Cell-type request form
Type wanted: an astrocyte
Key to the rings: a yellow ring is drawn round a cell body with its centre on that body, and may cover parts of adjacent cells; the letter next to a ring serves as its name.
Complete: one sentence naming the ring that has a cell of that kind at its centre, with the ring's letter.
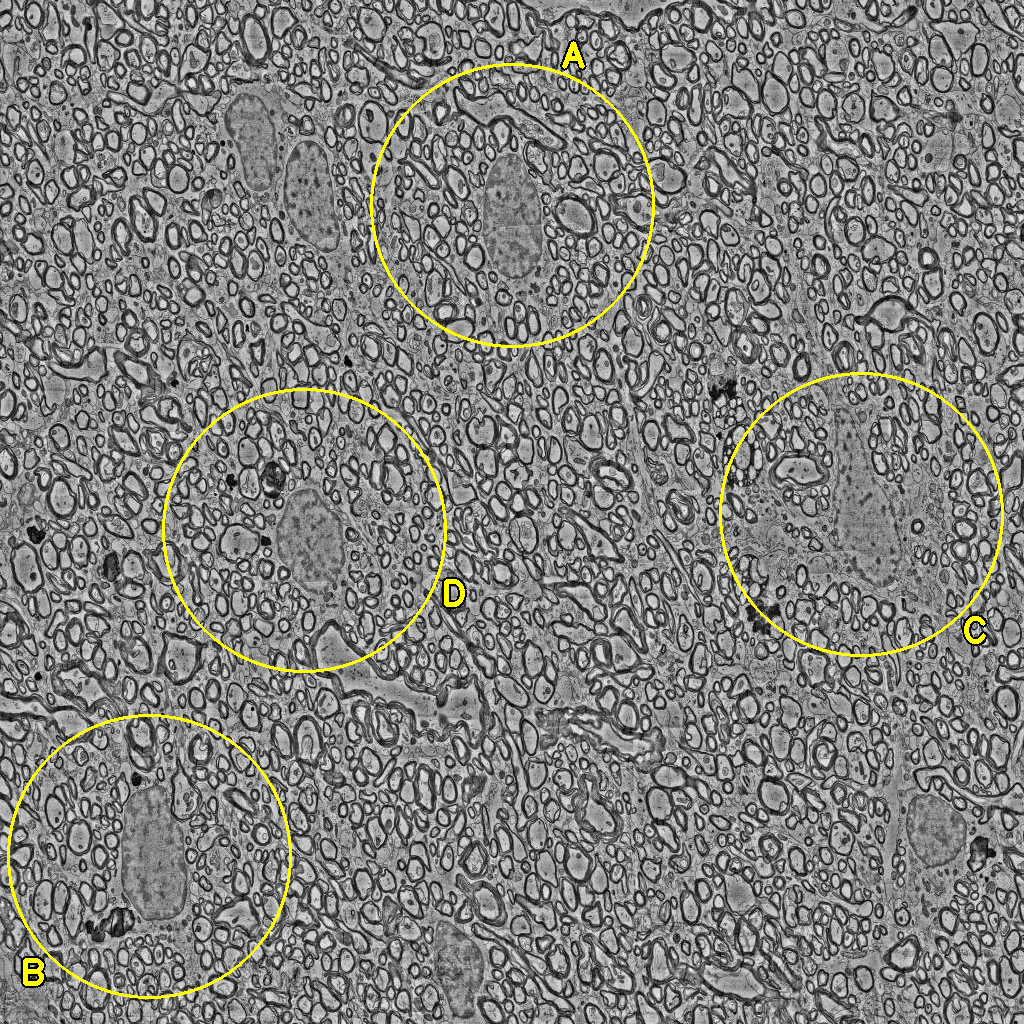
A cell of that kind sits at the centre of the ring labelled C.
